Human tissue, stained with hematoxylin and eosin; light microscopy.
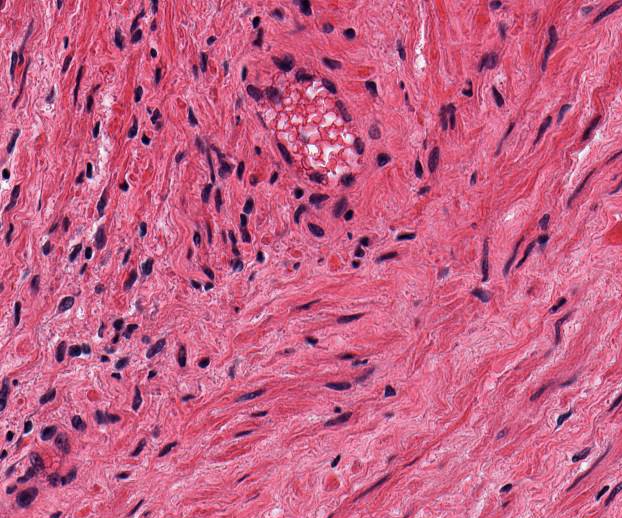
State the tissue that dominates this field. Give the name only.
fibromuscular stroma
